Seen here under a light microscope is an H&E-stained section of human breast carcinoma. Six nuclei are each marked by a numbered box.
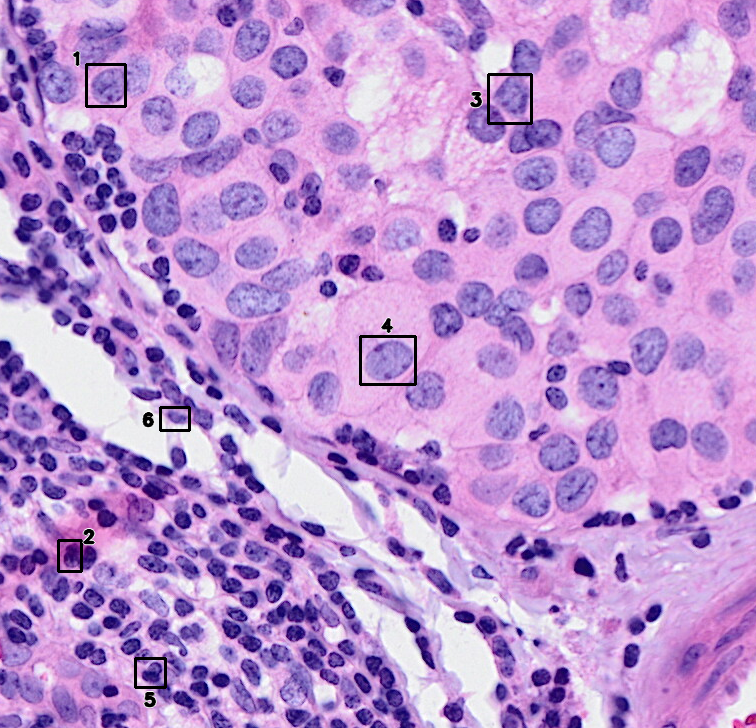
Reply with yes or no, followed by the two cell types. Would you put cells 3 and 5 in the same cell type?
No, the identities are a carcinoma cell for cell 3 and a lymphocyte for cell 5.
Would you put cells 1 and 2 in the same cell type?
No, cell 1 is a carcinoma cell, and as for cell 2, it is a lymphocyte.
